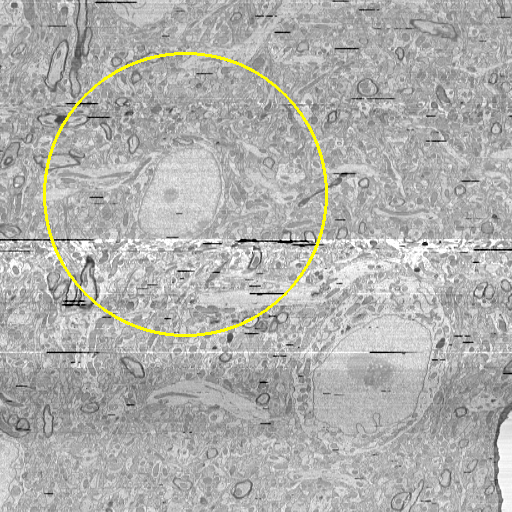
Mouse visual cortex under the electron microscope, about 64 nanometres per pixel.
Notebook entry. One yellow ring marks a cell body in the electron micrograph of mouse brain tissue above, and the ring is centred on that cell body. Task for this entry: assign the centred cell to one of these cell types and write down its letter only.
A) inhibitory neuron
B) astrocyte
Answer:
B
